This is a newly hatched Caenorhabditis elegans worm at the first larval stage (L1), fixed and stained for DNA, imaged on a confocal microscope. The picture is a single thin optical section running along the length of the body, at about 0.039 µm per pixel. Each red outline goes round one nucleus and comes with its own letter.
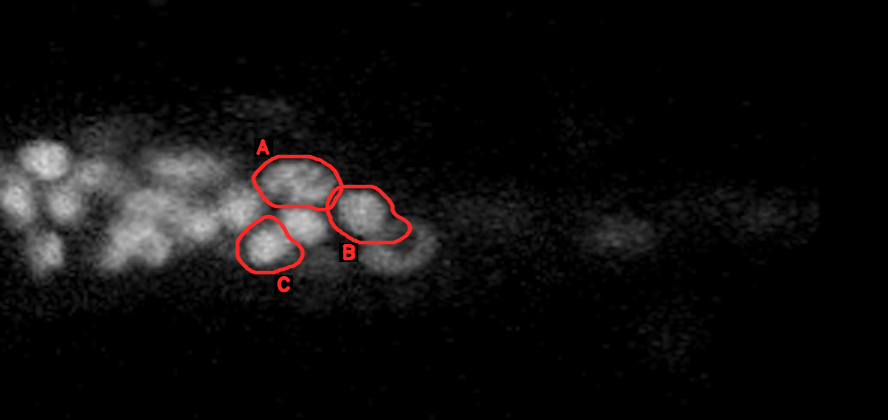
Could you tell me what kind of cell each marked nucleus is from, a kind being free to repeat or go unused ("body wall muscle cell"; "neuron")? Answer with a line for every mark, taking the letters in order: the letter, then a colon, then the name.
A: body wall muscle cell
B: neuron
C: neuron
